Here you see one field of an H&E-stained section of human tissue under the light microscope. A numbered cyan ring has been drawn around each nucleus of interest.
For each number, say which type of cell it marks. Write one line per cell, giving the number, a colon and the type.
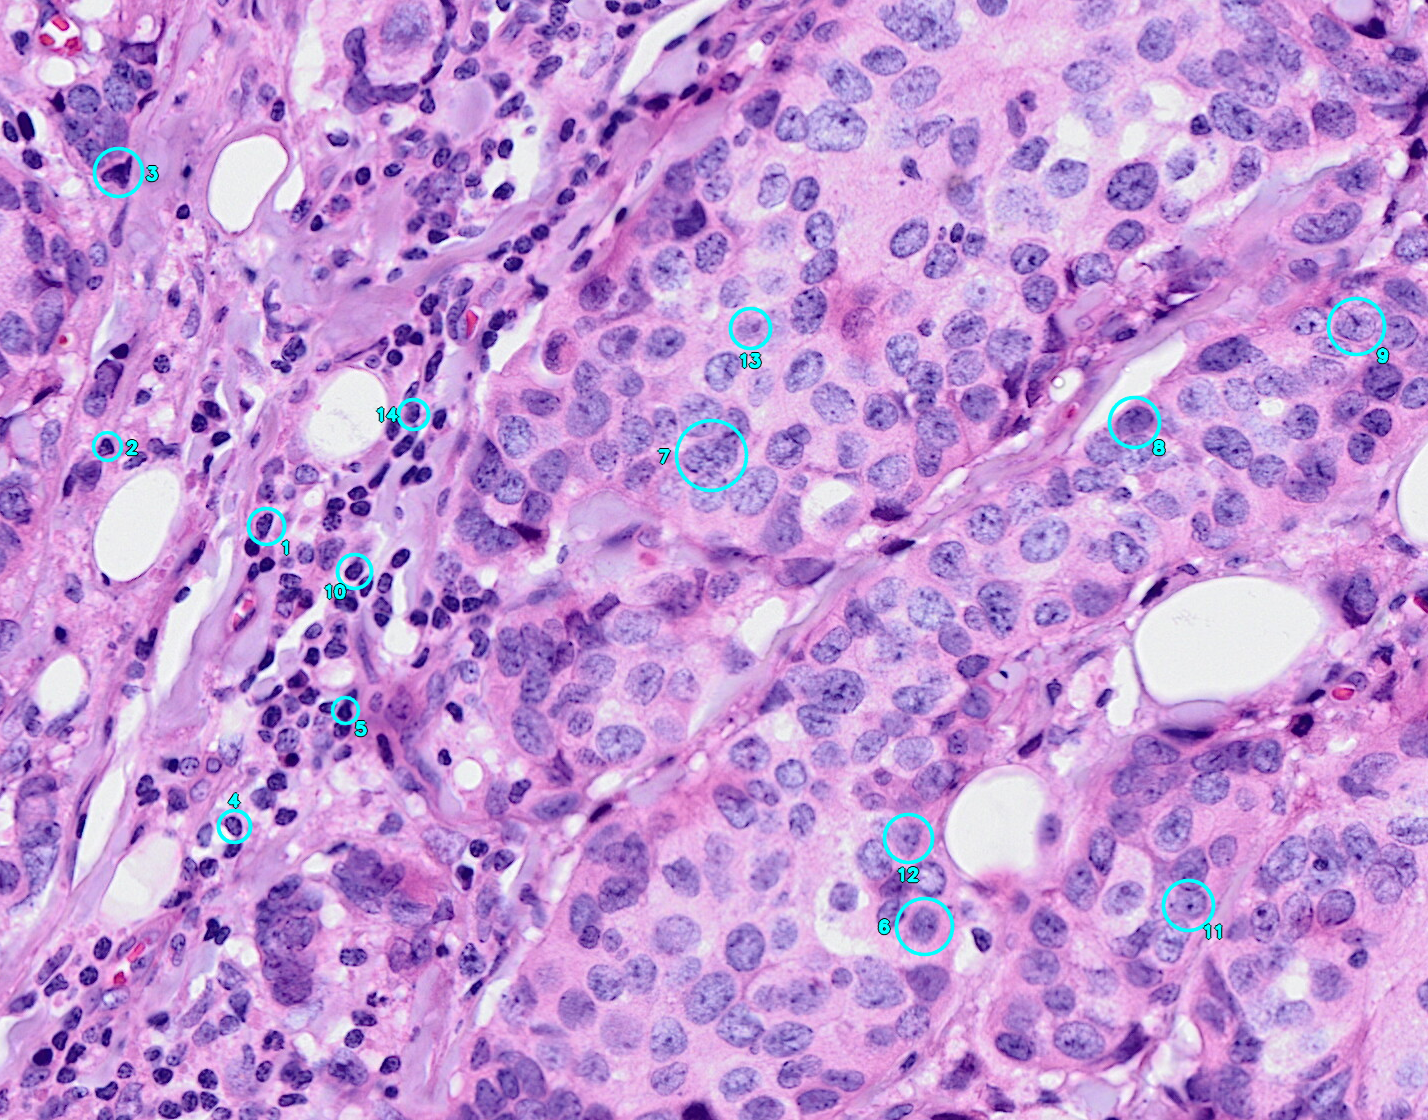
1: lymphocyte
2: lymphocyte
3: carcinoma cell
4: lymphocyte
5: lymphocyte
6: carcinoma cell
7: carcinoma cell
8: carcinoma cell
9: carcinoma cell
10: lymphocyte
11: carcinoma cell
12: carcinoma cell
13: carcinoma cell
14: lymphocyte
